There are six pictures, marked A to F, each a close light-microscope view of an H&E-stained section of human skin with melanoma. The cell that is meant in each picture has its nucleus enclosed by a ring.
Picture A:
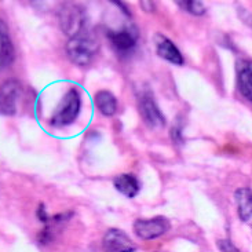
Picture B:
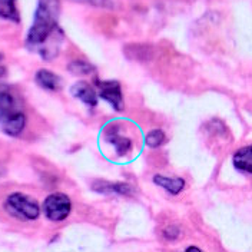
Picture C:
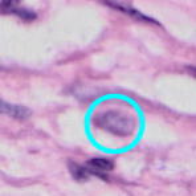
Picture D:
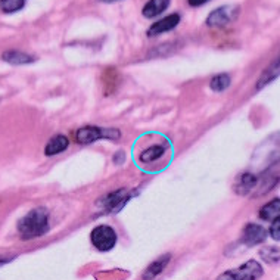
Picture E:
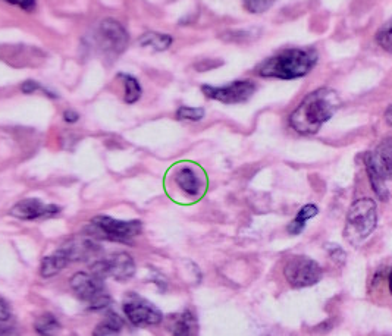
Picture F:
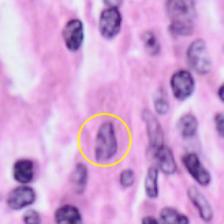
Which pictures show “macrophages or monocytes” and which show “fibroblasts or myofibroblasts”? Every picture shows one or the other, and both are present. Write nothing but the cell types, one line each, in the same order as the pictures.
macrophage or monocyte
fibroblast or myofibroblast
fibroblast or myofibroblast
macrophage or monocyte
macrophage or monocyte
macrophage or monocyte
